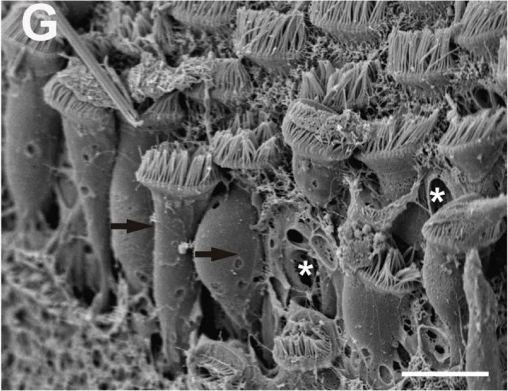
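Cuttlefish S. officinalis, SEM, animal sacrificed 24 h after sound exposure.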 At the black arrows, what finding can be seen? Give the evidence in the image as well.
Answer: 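Ciliary tufts sit on top of these protruding cell bodies.
Cell body of hair cells is ejected.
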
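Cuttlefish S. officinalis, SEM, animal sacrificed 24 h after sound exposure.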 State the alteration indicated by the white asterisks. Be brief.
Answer: holes on the epithelium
